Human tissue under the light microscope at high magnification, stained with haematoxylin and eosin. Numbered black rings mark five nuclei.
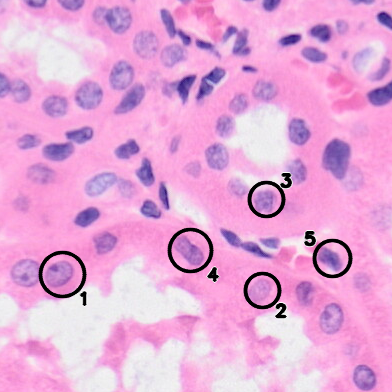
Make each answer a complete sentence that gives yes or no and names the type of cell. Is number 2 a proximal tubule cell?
Yes, the cell with its nucleus marked 2 is a proximal tubule cell.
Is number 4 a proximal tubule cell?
Yes, the cell identified as number 4 is a proximal tubule cell.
